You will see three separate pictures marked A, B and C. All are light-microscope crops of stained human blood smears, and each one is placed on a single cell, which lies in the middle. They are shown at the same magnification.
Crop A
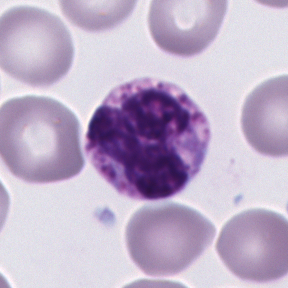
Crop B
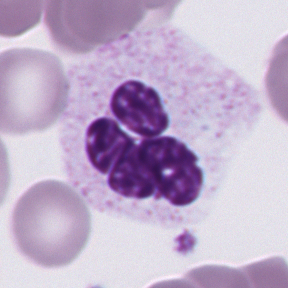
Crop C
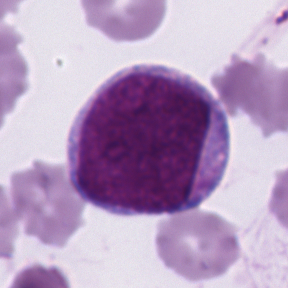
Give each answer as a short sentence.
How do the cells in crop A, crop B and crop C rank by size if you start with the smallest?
From the smallest up, the order is A, C, B.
